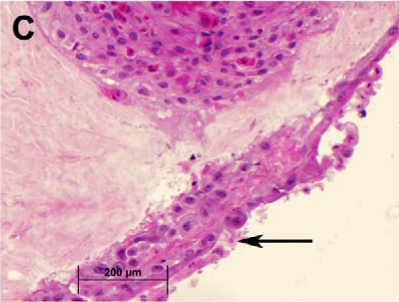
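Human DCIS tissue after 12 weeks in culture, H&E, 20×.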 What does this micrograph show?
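Here multi-layered pleomorphic epithelial cells grow over the surface of pale pink breast stroma. The cells form a band several cells thick, with nuclei that differ in size and shape and stain dark purple. Beneath them lies loose, pale pink fibrous stroma, and another crowded cluster of epithelial cells sits in the upper part of the field.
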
